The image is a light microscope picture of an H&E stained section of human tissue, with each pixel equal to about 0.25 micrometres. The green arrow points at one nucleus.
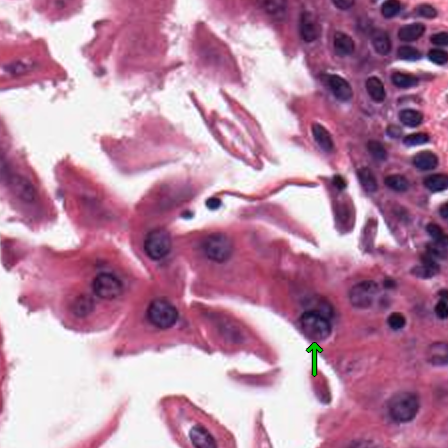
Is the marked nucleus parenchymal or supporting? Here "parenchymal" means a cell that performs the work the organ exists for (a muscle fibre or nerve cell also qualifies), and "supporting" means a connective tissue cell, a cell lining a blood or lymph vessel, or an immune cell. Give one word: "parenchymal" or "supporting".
parenchymal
